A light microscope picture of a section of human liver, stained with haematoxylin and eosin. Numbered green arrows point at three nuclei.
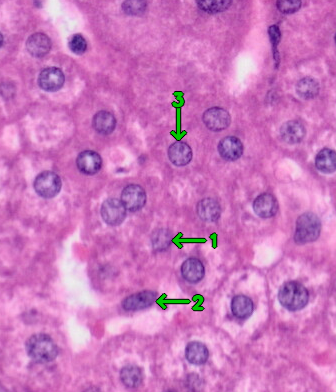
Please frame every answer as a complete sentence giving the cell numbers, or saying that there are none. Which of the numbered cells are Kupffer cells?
Across all the numbered cells, only number 2 is a Kupffer cell.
